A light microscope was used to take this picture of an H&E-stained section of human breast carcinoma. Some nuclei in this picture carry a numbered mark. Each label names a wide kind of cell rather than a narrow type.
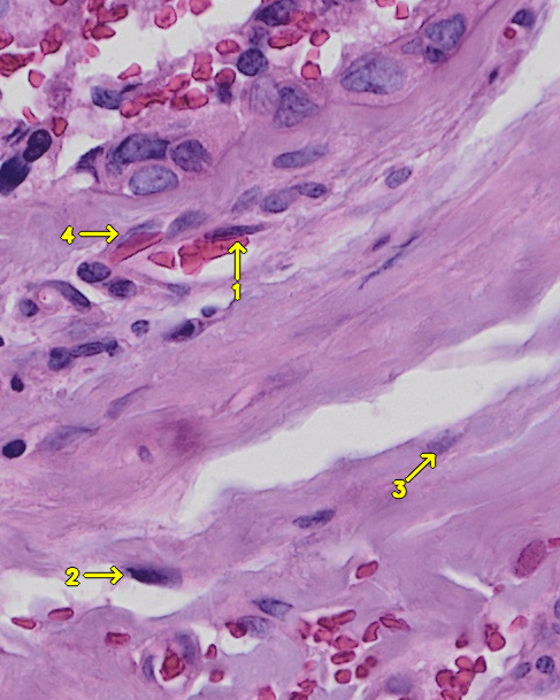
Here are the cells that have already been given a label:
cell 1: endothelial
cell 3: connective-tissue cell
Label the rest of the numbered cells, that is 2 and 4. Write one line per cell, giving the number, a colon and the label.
2: connective-tissue cell
4: endothelial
